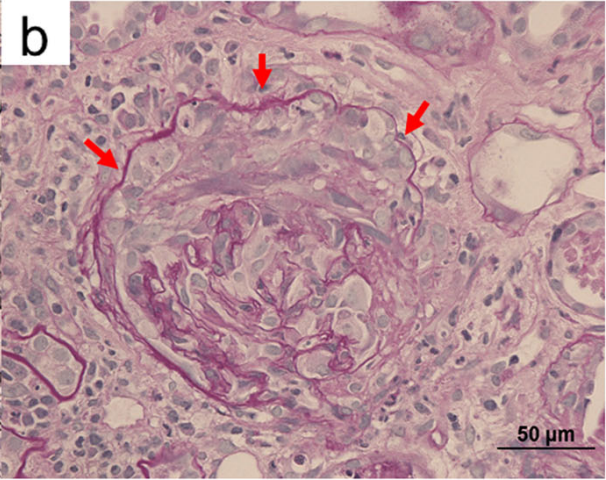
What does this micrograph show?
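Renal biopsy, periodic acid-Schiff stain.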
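A glomerulus is outlined by a wavy magenta capsule line, and inside it a thick band of densely packed cells with oval nuclei lies between the capsule and the shrunken central tuft. This crowded cellular layer lining the capsule is a cellular crescent compressing the glomerular tuft, with inflammatory cells in the surrounding interstitium.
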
